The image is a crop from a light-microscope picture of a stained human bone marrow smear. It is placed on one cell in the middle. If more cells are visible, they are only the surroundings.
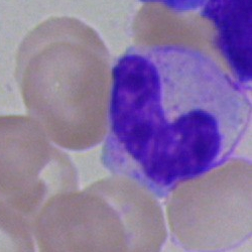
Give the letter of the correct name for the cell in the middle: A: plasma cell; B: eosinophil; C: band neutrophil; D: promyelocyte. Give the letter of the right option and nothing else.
C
